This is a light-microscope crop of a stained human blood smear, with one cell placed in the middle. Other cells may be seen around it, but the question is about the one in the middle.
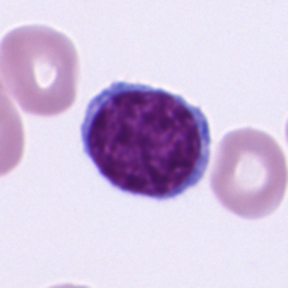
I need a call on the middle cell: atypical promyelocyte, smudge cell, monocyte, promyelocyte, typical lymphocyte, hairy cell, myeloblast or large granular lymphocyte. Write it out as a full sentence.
Seen at the centre of the crop is a typical lymphocyte.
